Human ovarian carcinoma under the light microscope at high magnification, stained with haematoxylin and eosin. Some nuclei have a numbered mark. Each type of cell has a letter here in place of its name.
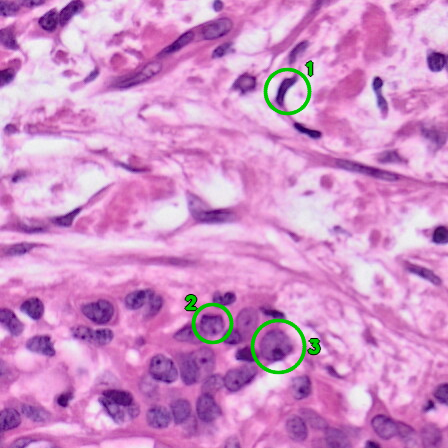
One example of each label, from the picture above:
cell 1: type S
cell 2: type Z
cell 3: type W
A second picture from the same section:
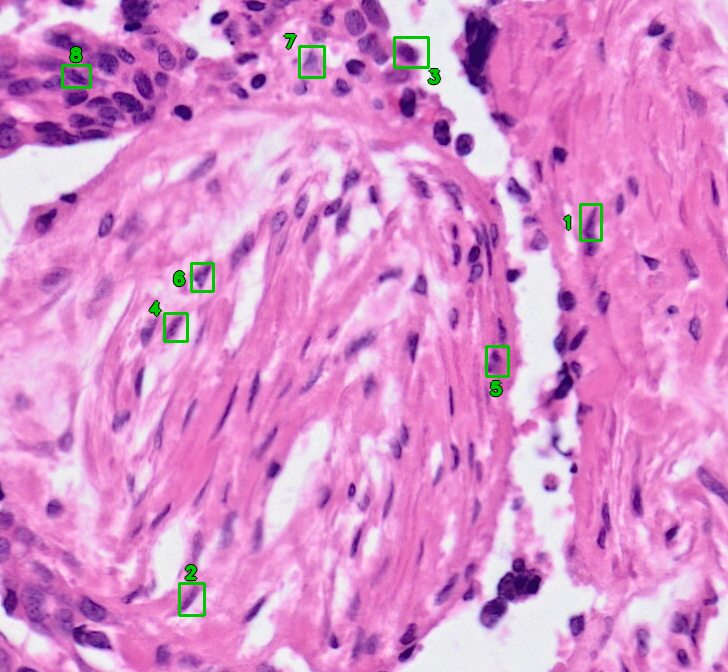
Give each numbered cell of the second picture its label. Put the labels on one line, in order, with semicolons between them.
type S; type S; type W; type S; type S; type S; type Z; type W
